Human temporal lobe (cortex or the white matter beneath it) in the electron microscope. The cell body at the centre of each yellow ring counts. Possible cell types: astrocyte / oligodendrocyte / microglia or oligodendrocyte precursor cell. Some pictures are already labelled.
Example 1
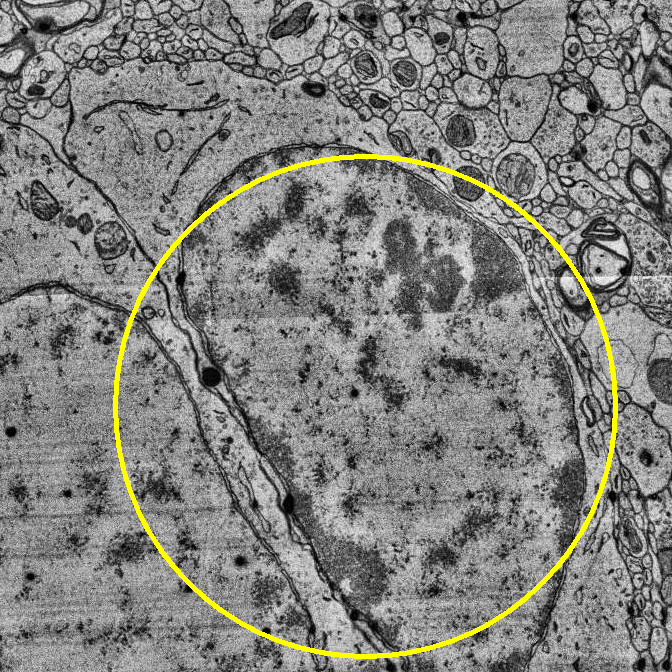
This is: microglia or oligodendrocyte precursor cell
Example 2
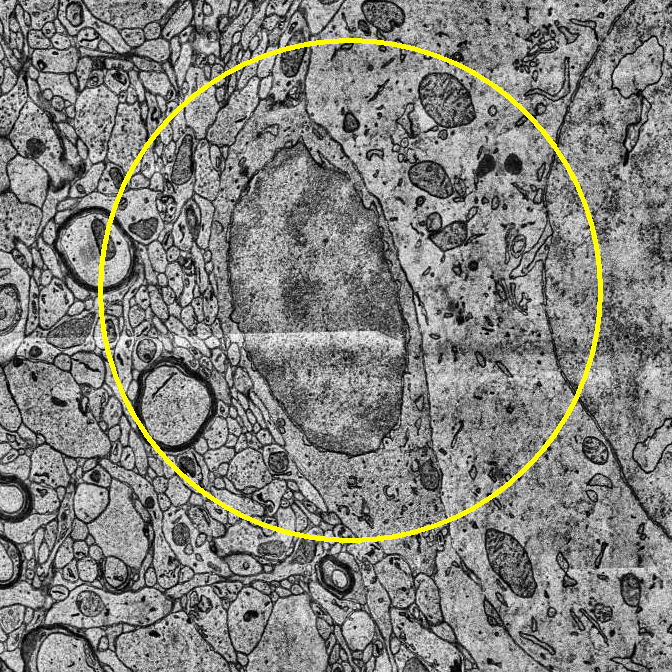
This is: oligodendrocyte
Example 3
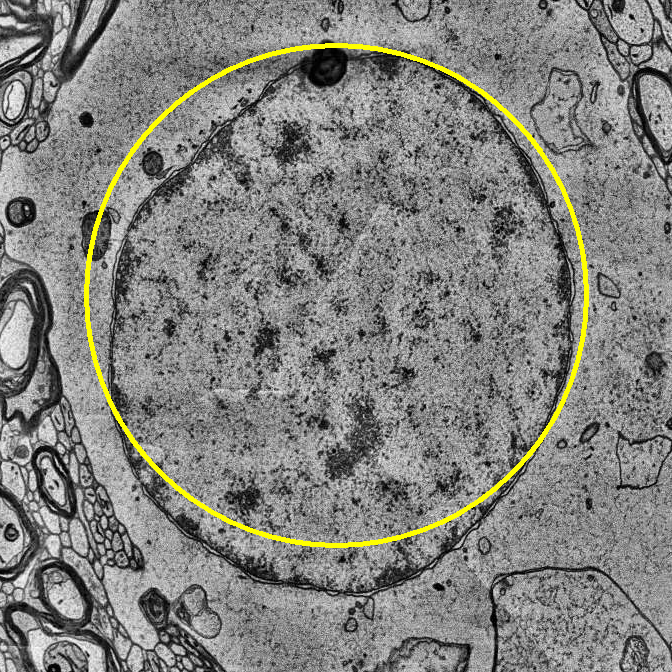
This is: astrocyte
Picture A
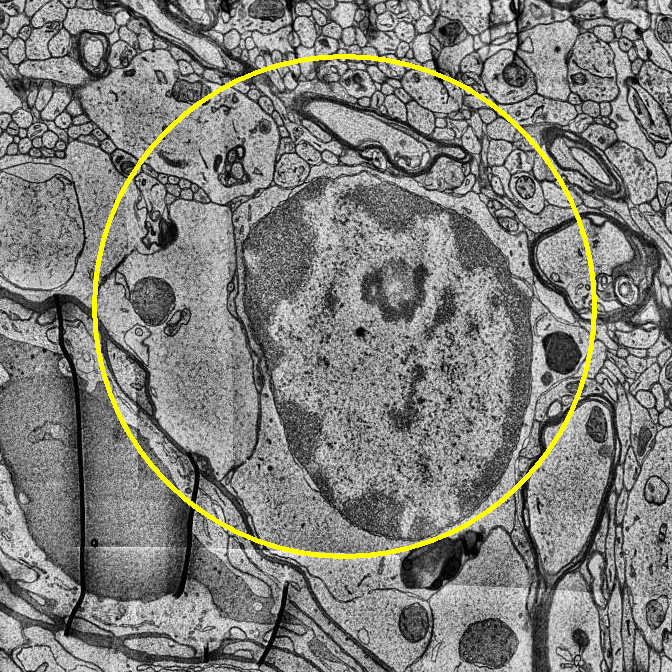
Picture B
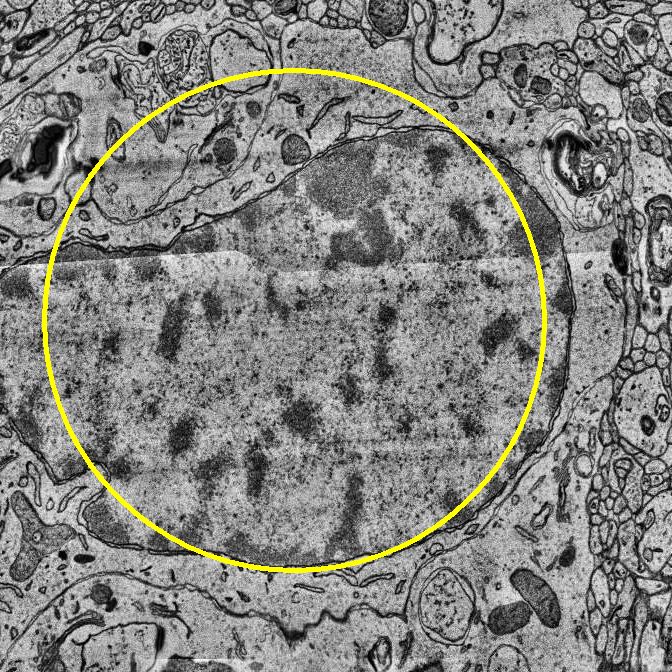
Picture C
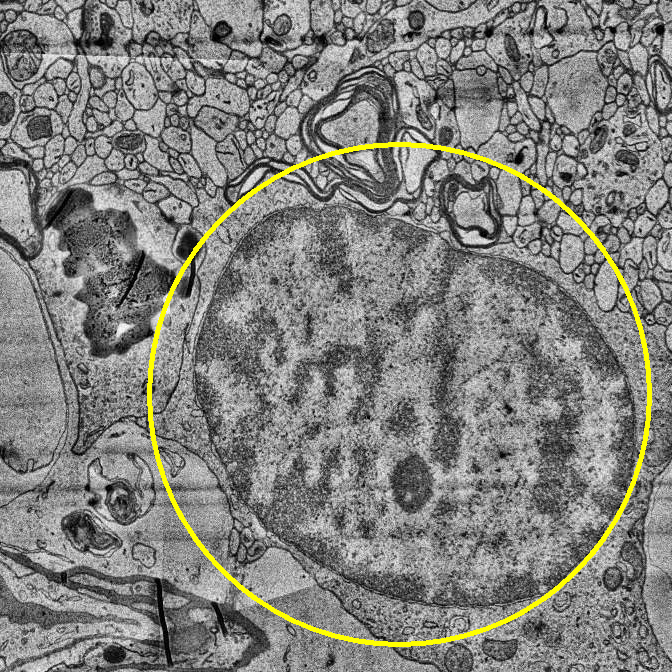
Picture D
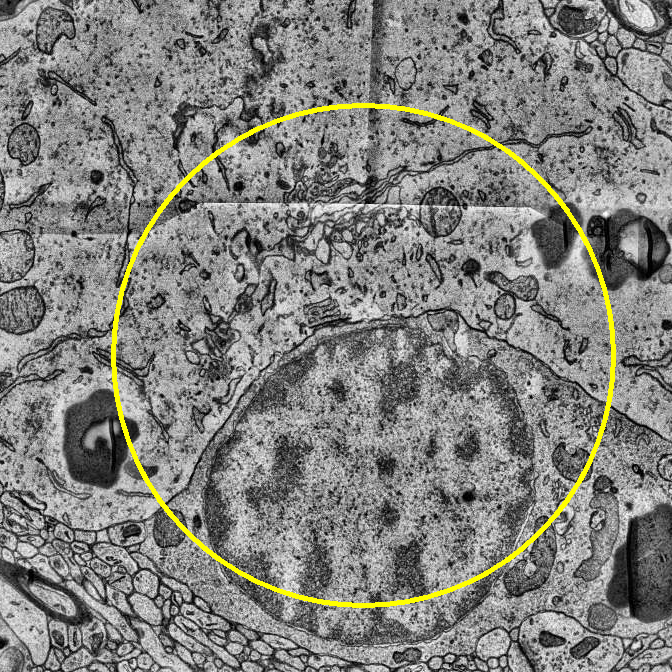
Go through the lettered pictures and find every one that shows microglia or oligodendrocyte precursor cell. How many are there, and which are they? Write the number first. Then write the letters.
2, namely A, B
